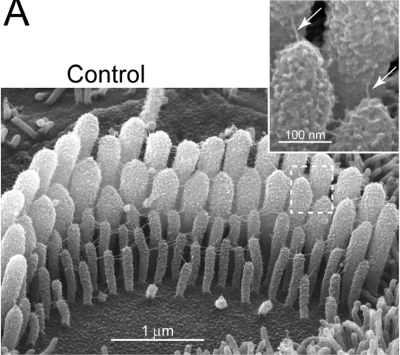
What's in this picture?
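A scanning electron micrograph shows the stereocilia of an inner hair cell, standing as a bundle of finger-like projections with rounded tips in rows of graded height above the cell surface. The surfaces of the stereocilia look finely granular, and thinner microvilli lie on the surface around the bundle. In the magnified inset, thin tip links stretch from the tips of shorter stereocilia up to their taller neighbours.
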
